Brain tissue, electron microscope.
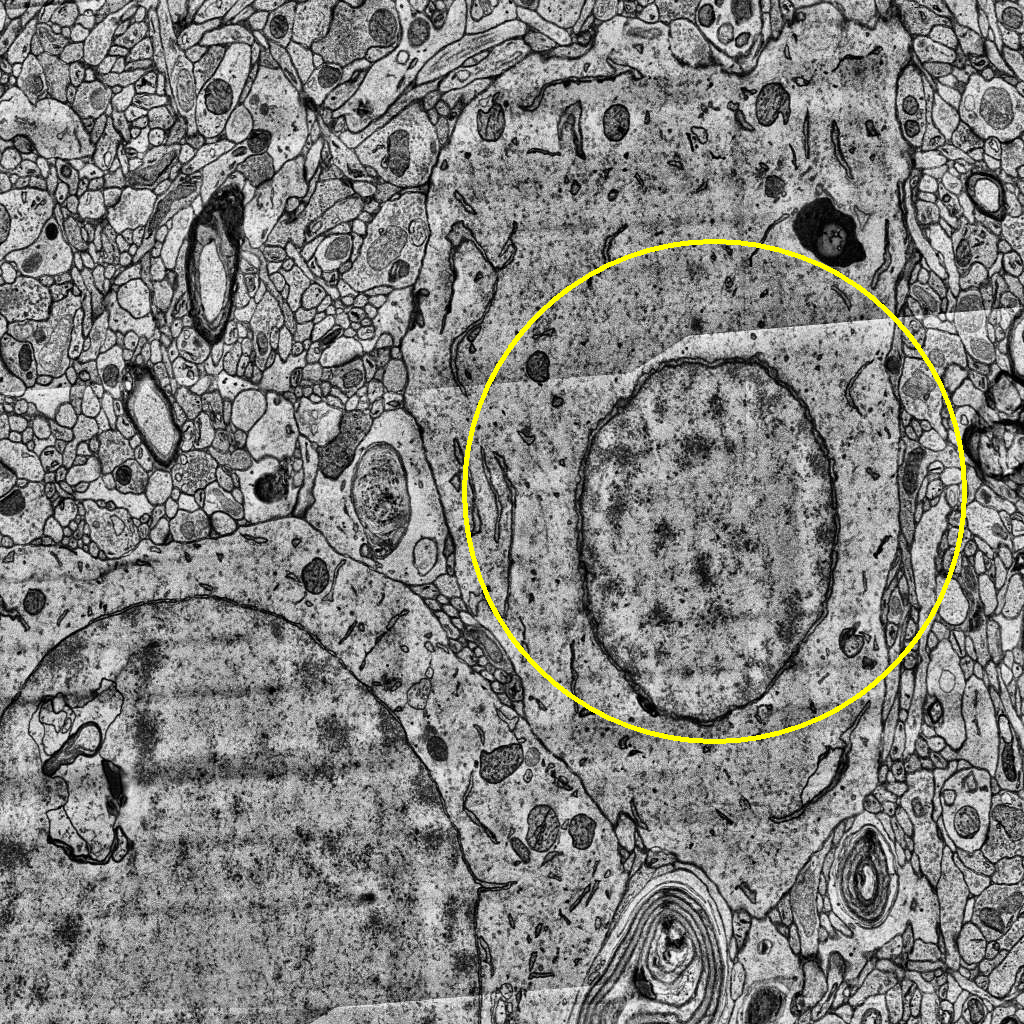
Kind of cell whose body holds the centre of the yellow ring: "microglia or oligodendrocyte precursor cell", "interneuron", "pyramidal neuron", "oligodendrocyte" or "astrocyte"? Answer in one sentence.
The ring's centre falls on a pyramidal neuron.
